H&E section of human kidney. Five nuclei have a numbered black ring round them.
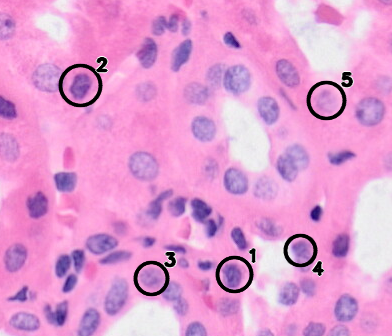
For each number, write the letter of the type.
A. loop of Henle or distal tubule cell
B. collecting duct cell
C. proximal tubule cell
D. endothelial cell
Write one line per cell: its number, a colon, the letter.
1: A
2: C
3: B
4: A
5: C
